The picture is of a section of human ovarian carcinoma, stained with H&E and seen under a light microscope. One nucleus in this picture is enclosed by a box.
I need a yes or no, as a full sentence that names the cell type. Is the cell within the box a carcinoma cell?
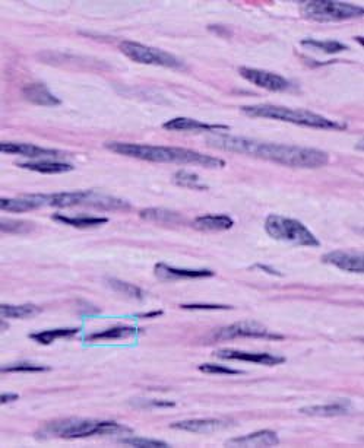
No, the cell within the box is classed as a smooth muscle cell, not as a carcinoma cell.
